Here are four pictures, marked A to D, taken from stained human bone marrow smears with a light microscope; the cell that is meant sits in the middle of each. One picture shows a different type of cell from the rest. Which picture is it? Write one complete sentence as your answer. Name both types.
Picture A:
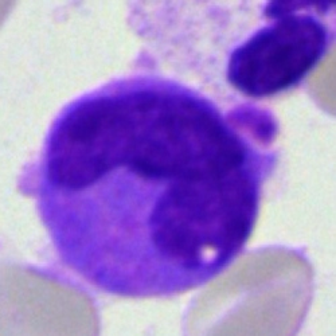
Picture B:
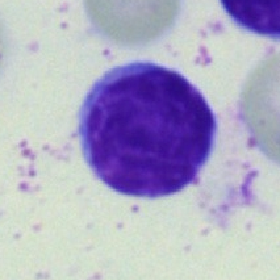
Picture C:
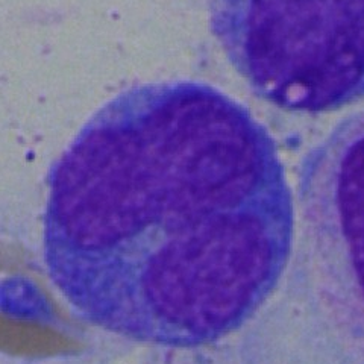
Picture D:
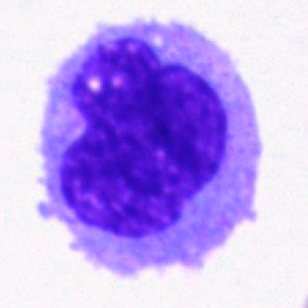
Picture B differs, because its cell is a lymphocyte and the rest are monocytes.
